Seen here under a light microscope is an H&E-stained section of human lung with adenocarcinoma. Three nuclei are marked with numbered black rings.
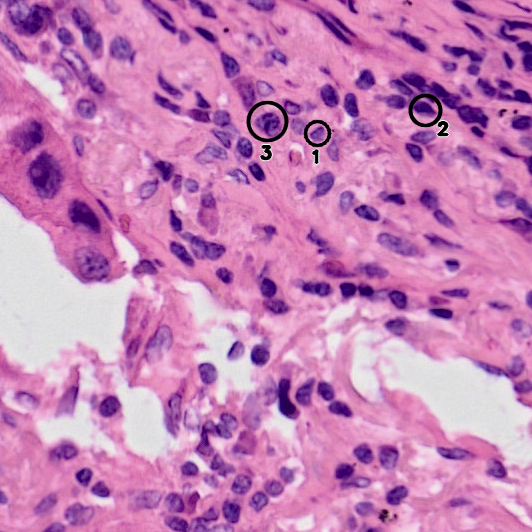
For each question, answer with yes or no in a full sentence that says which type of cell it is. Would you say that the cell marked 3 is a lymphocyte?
No, the right label for cell 3 is a plasma cell rather than a lymphocyte.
